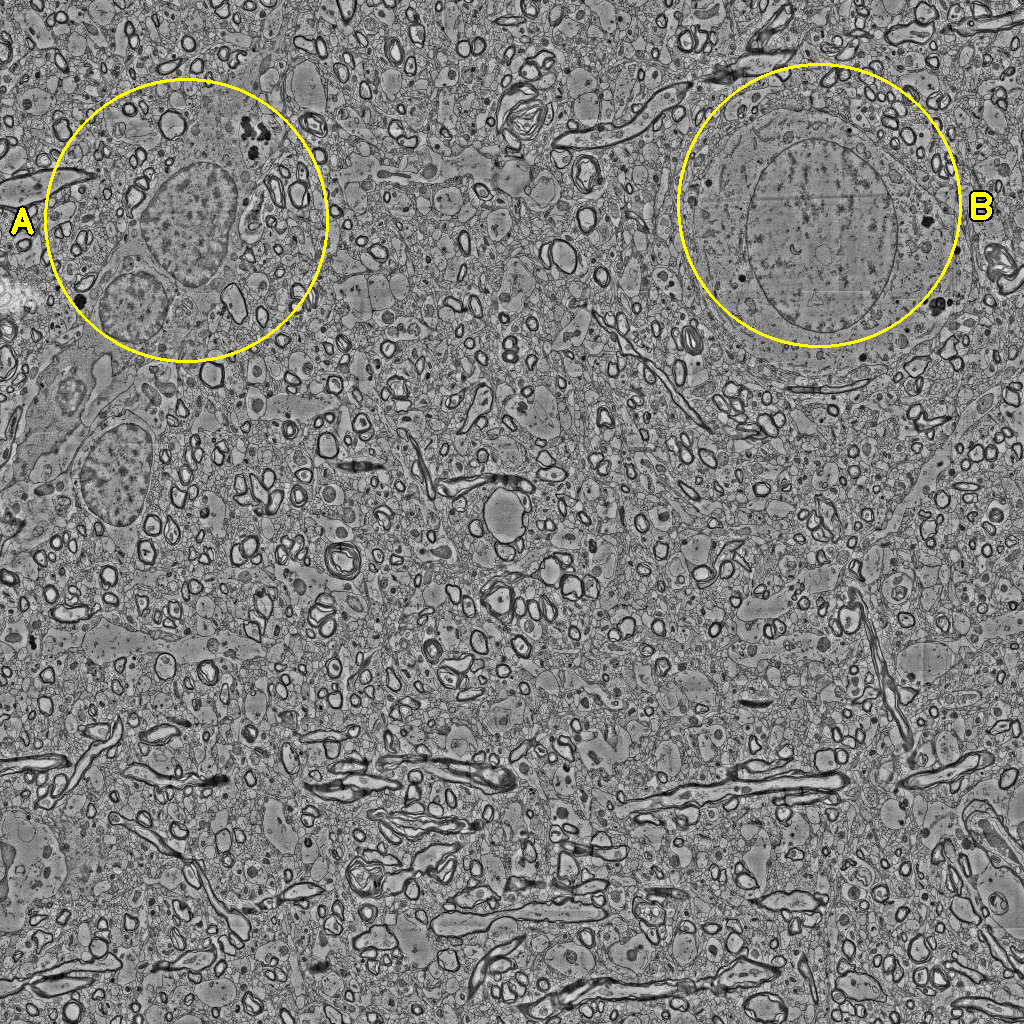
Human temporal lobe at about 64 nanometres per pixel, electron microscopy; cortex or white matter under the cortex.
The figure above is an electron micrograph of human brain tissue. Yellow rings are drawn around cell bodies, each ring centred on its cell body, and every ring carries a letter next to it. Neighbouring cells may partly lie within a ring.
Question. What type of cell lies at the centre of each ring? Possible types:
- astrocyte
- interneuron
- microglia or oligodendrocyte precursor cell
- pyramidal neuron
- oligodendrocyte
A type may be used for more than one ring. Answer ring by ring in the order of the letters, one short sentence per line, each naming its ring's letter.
In ring A, the central cell is an oligodendrocyte.
In ring B, the central cell is a pyramidal neuron.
